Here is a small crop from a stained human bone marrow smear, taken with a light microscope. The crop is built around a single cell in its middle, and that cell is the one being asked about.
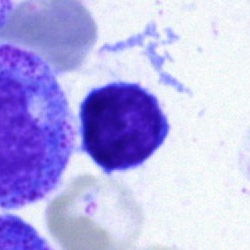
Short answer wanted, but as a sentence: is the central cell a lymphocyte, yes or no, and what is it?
Yes, a lymphocyte occupies the middle of the crop.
